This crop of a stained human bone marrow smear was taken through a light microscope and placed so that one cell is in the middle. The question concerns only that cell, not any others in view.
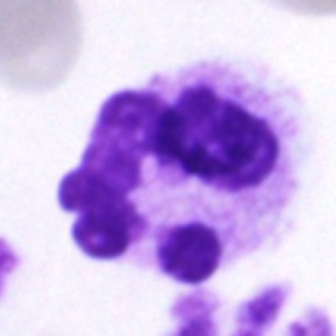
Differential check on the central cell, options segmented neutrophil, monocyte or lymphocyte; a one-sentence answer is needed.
The middle of this crop is occupied by a segmented neutrophil.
